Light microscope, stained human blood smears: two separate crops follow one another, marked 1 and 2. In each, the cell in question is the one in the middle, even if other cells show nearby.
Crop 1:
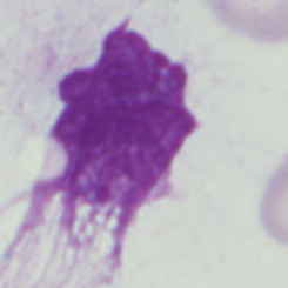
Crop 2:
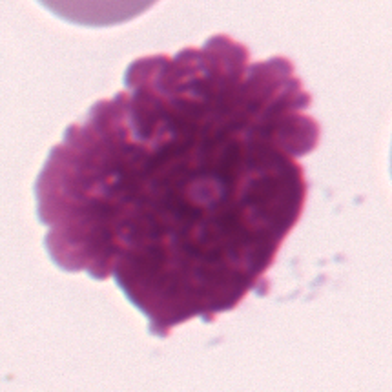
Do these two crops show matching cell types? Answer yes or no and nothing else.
yes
